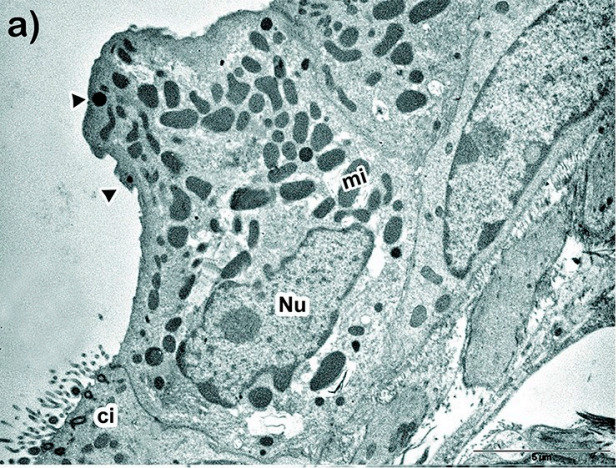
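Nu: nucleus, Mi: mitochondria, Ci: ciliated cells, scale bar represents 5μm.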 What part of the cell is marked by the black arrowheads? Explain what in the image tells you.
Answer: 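Electron dense granules. Small round very dark granules lie at the cell apex under the arrowheads. The granules are darker and smaller than the nearby mitochondria.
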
